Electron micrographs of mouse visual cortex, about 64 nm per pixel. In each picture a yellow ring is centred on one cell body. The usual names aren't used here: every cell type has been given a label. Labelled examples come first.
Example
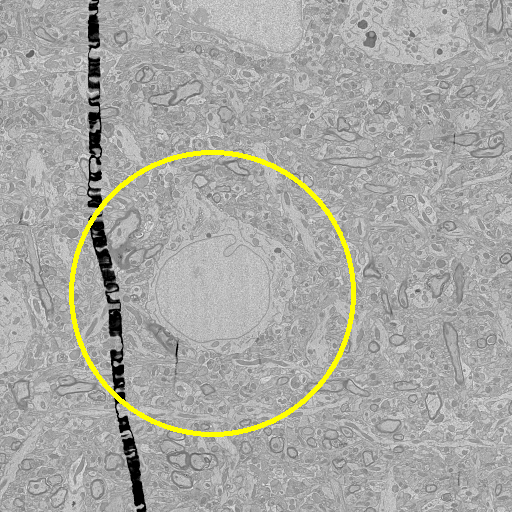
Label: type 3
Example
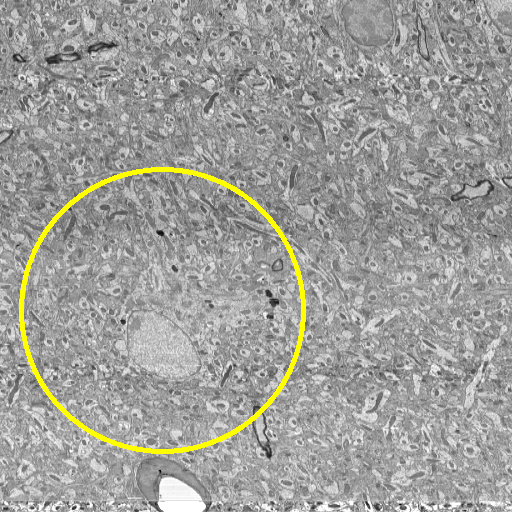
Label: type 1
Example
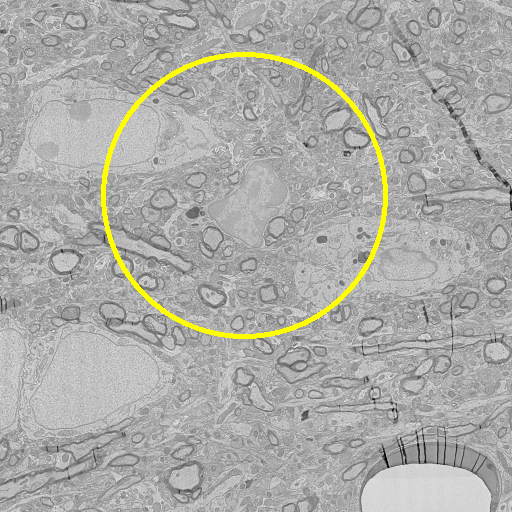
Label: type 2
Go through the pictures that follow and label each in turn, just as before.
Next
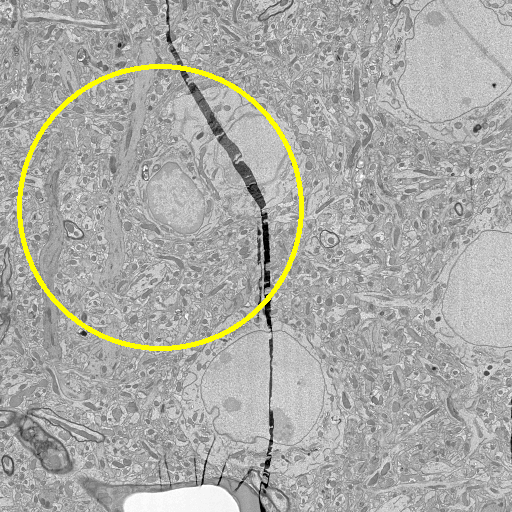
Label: type 2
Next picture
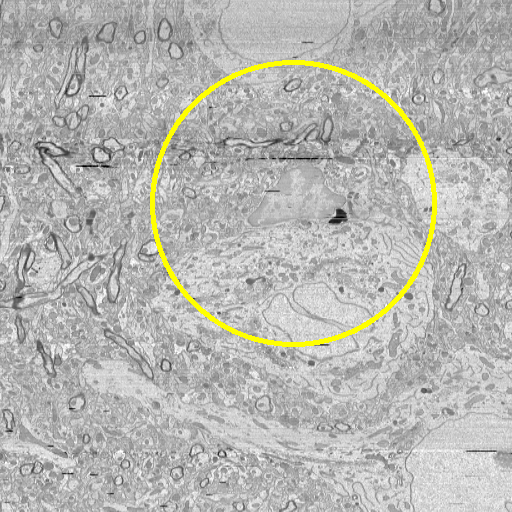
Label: type 2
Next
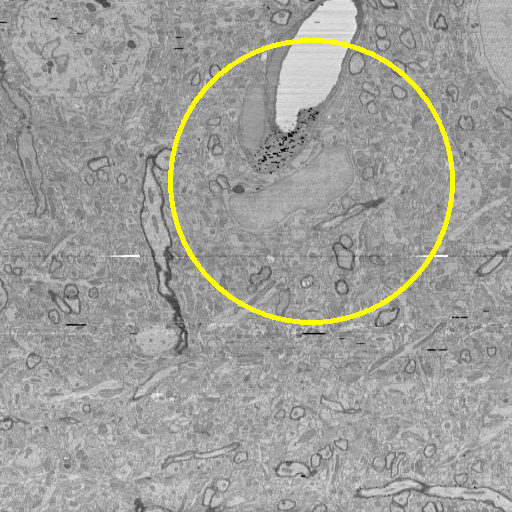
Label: type 2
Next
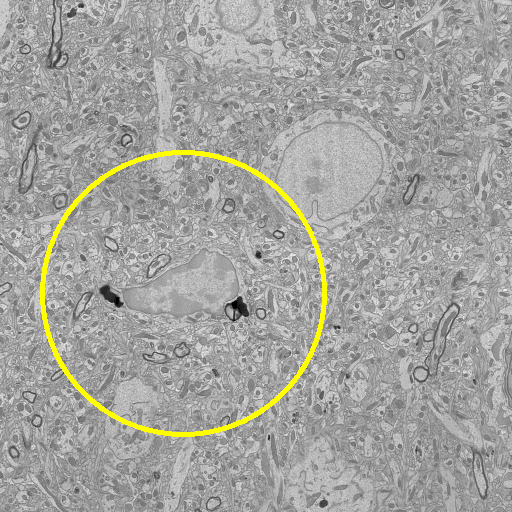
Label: type 2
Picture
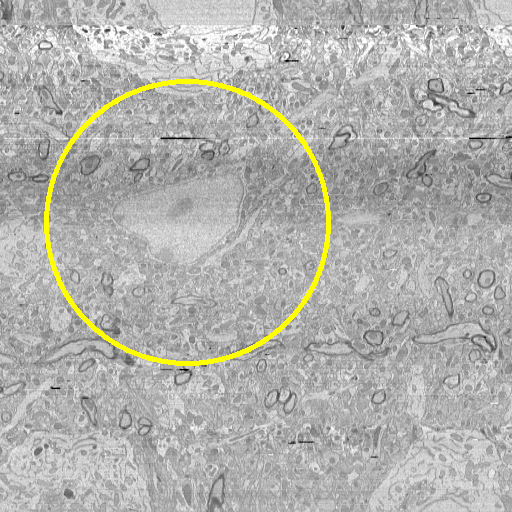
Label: type 1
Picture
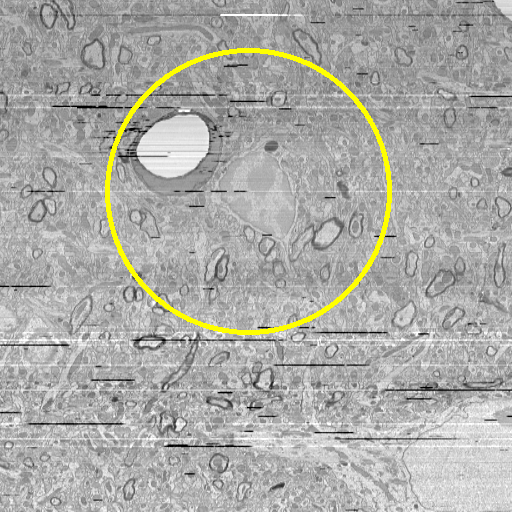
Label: type 2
